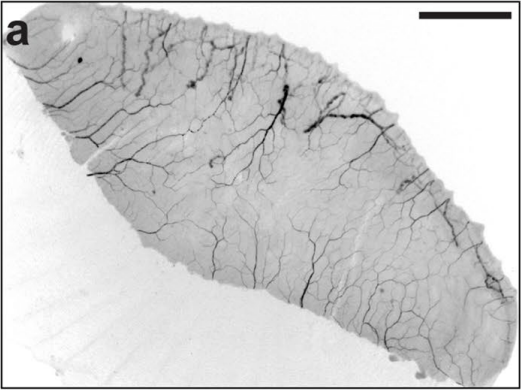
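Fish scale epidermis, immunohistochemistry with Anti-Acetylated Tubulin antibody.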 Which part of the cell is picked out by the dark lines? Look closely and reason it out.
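Axonal fibers. Fine dark lines branch across the whole flat specimen. Several thicker, winding dark lines run near the upper edge.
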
